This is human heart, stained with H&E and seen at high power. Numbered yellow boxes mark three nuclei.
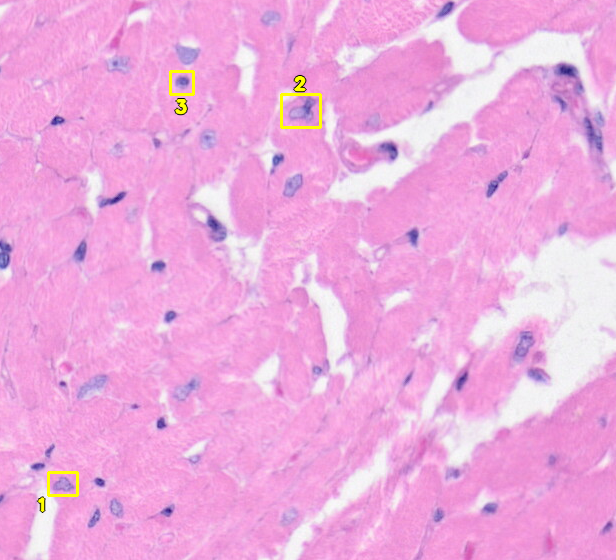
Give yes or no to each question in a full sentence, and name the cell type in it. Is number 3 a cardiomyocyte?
No, it's not a cardiomyocyte at number 3; that cell is an endothelial cell.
